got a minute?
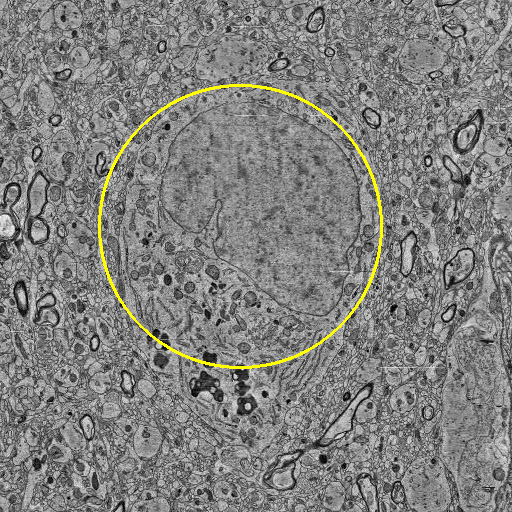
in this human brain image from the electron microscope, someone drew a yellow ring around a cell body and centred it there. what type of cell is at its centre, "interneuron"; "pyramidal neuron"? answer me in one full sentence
It's an interneuron at the middle of that yellow ring in the shot.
